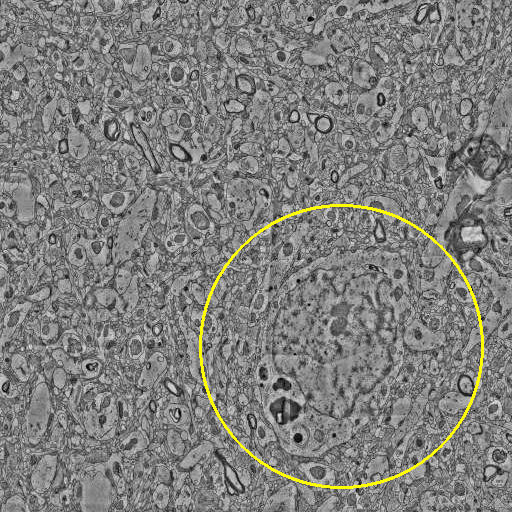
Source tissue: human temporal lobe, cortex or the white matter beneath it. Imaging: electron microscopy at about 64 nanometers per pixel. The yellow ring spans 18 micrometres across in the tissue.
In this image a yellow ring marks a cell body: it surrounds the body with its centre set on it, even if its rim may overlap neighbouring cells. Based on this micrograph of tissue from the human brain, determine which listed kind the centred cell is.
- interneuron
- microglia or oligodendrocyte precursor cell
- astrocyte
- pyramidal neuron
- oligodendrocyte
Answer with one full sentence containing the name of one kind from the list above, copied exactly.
It is an interneuron whose body the yellow ring encloses at its centre.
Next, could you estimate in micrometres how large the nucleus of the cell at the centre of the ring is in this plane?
The ringed cell's nucleus measures approximately 10 by 8 micrometres in this plane.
